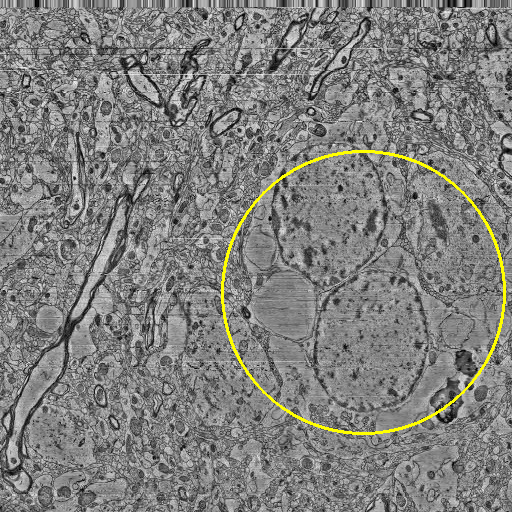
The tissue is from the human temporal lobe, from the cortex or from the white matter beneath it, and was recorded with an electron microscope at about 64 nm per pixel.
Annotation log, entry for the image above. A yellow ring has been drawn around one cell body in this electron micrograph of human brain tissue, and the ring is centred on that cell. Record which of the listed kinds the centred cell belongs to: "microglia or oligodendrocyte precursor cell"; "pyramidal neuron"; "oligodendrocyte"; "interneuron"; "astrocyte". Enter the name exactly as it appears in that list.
astrocyte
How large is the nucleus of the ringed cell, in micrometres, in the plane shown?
In this plane, the nucleus is roughly 9 by 7 micrometres.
